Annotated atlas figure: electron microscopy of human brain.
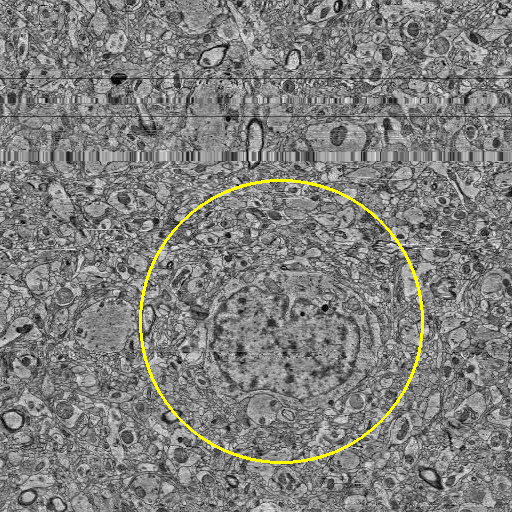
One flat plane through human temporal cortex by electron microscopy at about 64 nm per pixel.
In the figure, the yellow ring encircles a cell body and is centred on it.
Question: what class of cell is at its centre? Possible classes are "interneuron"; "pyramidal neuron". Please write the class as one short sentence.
The yellow ring is drawn around an interneuron.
